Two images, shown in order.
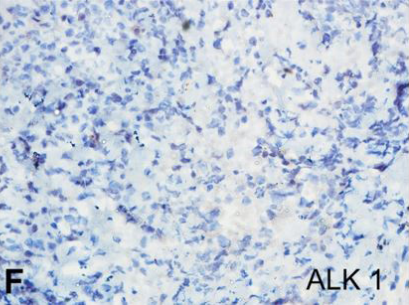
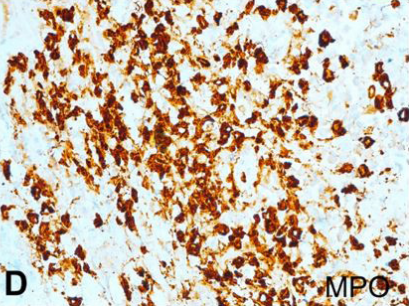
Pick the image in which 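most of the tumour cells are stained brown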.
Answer: The second image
